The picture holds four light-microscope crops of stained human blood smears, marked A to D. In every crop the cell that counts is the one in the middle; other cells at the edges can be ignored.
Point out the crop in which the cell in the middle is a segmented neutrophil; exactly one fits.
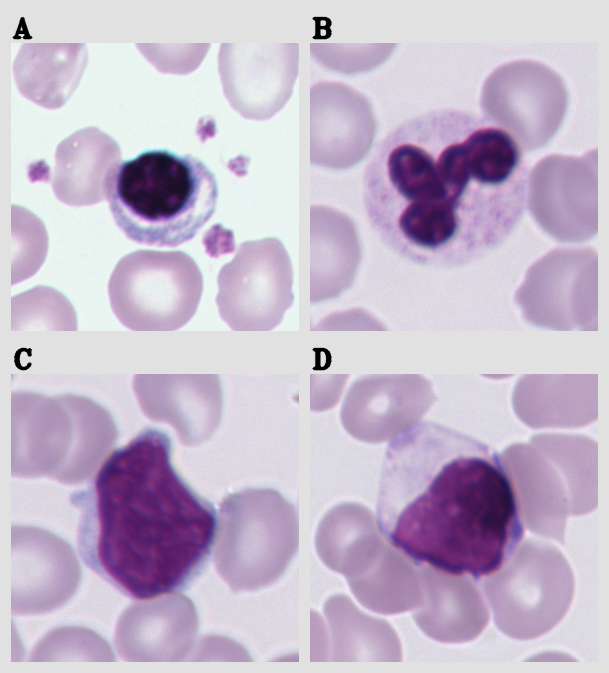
B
